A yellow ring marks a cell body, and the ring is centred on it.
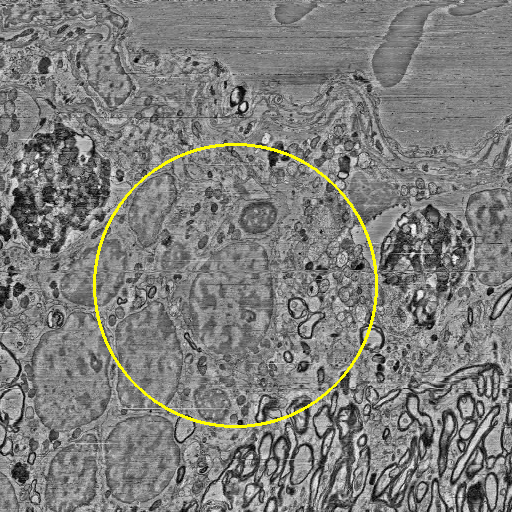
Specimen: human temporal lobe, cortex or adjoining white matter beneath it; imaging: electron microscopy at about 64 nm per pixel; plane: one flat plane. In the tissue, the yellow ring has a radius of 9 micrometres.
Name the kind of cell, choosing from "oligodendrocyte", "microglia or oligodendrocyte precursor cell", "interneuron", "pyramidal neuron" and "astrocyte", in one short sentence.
The marked cell body belongs to an oligodendrocyte.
